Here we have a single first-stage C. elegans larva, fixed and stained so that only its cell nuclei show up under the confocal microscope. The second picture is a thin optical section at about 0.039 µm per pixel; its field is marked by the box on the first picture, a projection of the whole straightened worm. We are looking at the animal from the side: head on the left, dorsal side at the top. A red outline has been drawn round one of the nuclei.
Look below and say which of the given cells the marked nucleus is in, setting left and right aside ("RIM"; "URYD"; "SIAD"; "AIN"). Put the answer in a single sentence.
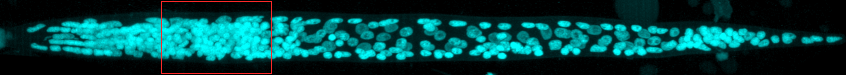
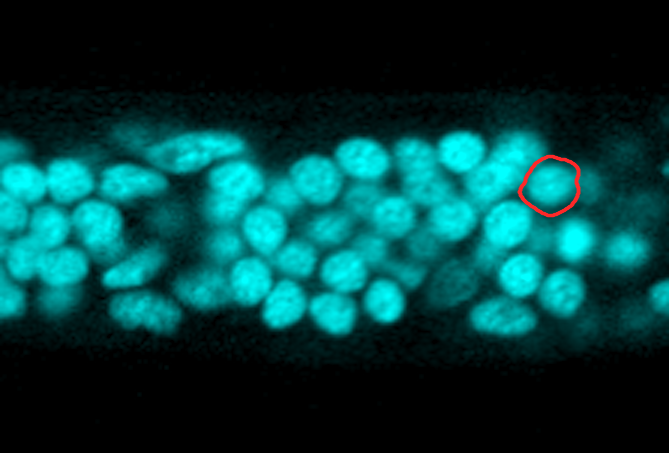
It belongs to AIN, a neuron.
